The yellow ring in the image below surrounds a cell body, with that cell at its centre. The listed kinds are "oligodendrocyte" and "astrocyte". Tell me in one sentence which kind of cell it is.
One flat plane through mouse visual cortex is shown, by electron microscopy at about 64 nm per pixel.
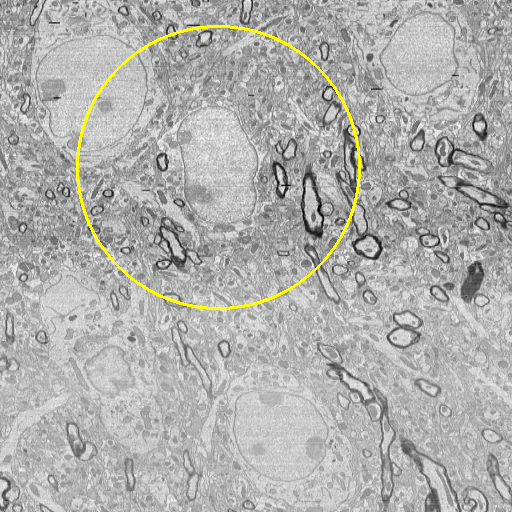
The centre of the ring holds an astrocyte.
